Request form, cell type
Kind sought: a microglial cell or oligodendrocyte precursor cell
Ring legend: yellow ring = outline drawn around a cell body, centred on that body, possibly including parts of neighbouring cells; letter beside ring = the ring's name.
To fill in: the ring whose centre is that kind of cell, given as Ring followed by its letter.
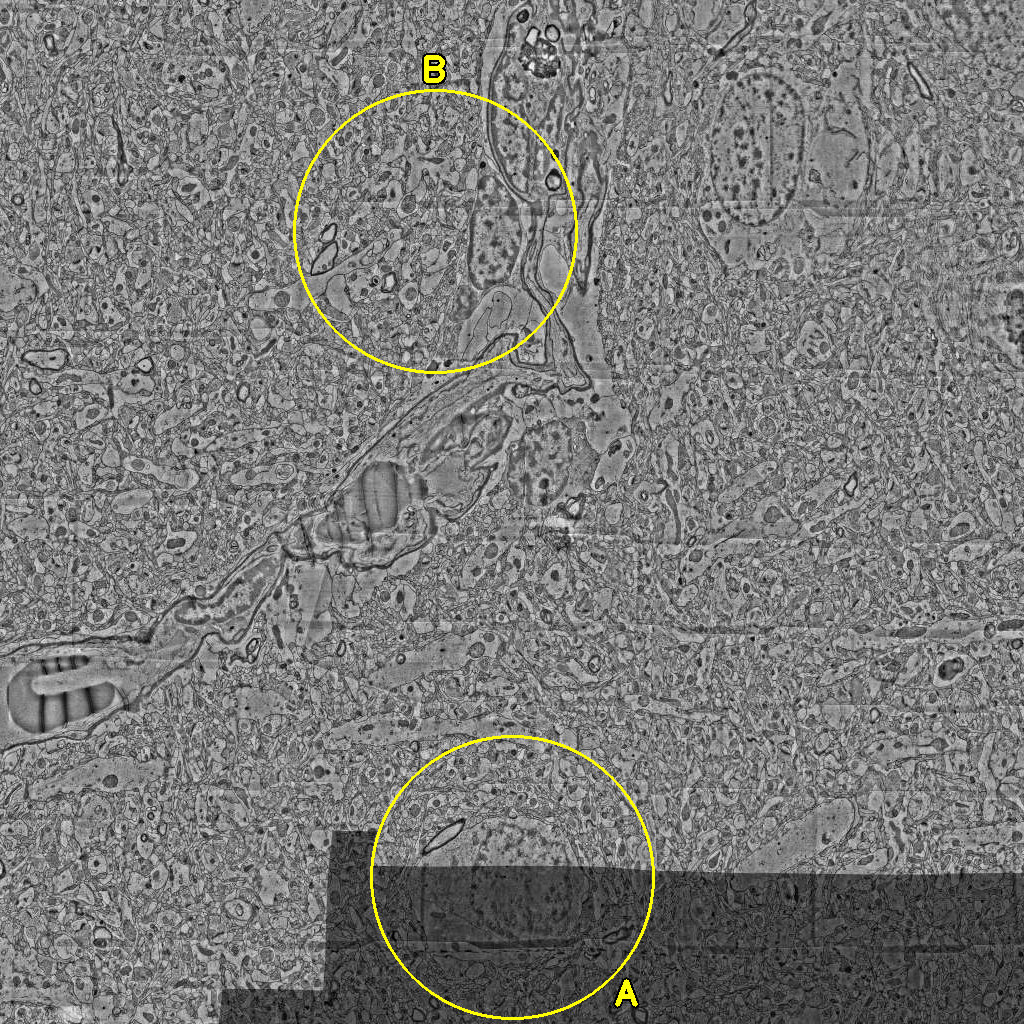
Ring B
